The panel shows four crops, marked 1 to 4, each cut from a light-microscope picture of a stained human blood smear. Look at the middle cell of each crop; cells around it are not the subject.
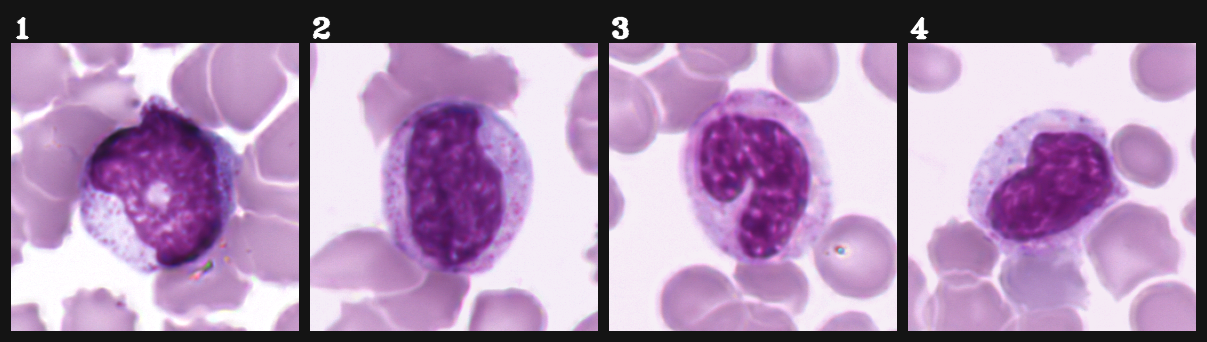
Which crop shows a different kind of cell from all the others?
3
